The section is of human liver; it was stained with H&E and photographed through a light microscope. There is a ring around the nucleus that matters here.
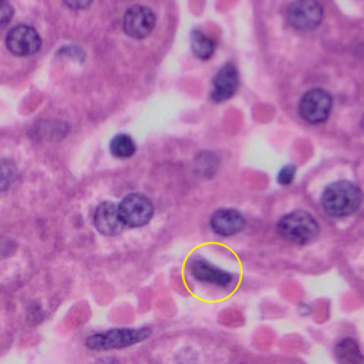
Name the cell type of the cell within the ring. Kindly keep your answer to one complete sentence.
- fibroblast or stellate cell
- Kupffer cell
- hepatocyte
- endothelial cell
It is as a Kupffer cell that the cell within the ring is classified.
